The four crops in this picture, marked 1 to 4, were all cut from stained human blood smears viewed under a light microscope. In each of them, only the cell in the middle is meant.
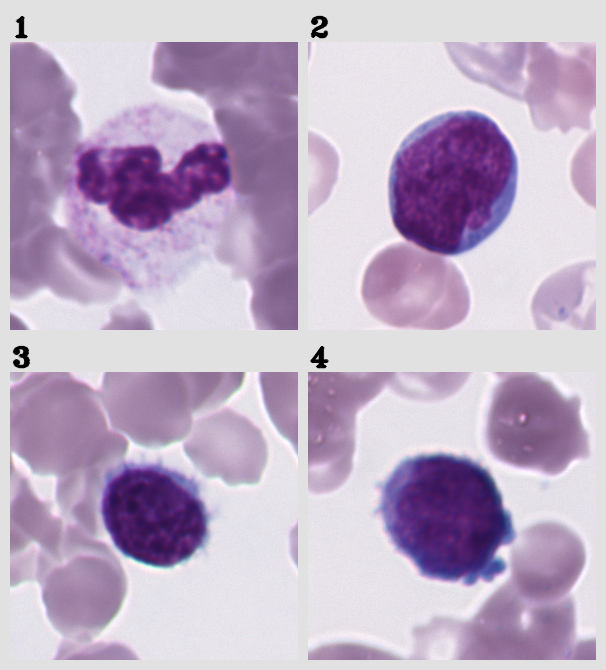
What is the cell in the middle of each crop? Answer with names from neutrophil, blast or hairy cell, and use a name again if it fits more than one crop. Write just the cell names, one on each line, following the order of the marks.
neutrophil
blast
hairy cell
blast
